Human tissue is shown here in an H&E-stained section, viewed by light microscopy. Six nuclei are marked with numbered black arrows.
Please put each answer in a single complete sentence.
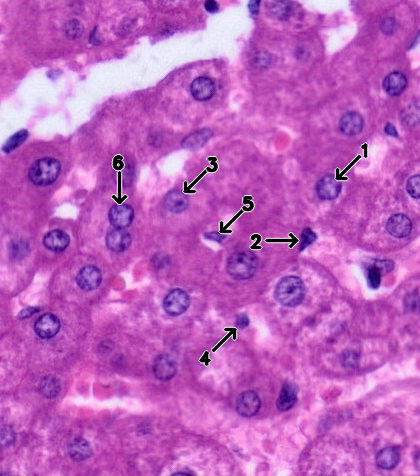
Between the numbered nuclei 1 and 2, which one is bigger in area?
It is nucleus 1, which covers about 2 times the area of nucleus 2.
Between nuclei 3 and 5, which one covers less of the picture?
Nucleus 5 covers less area, with nucleus 3 about 2.5 times as large.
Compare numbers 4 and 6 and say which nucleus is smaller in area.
Number 4 is smaller, since number 6 takes up about 2.5 times as much area.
